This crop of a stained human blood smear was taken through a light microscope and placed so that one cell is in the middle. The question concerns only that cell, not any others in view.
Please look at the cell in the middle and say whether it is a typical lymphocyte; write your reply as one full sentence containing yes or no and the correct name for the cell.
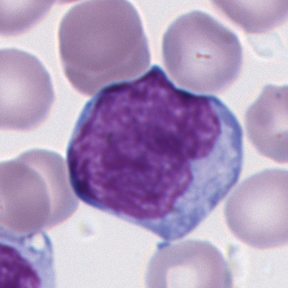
No, the cell sitting in the middle is a myeloblast, and it is not a typical lymphocyte.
